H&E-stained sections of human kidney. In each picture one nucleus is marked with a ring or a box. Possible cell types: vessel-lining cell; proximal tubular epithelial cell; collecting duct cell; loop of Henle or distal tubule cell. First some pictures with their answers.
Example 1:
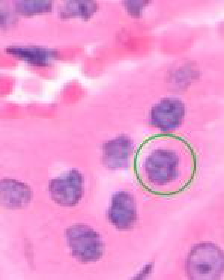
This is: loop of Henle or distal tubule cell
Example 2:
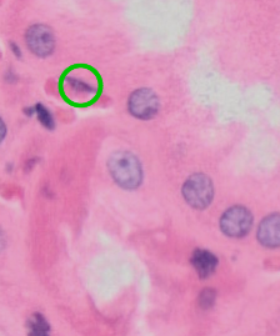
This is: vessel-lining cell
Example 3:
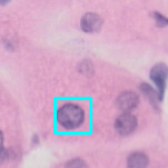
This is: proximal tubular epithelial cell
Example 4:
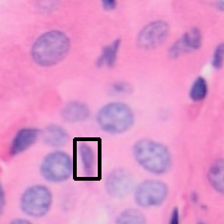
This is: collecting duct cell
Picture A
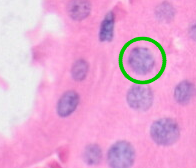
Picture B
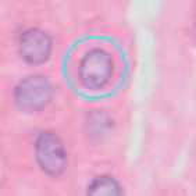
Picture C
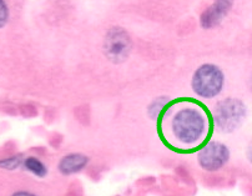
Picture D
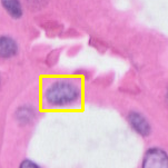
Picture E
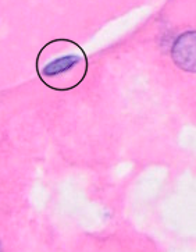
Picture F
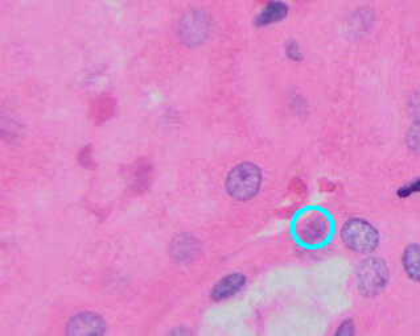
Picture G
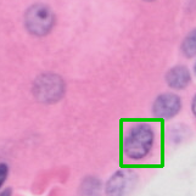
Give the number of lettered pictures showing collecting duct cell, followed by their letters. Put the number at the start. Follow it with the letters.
3: C, F, G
